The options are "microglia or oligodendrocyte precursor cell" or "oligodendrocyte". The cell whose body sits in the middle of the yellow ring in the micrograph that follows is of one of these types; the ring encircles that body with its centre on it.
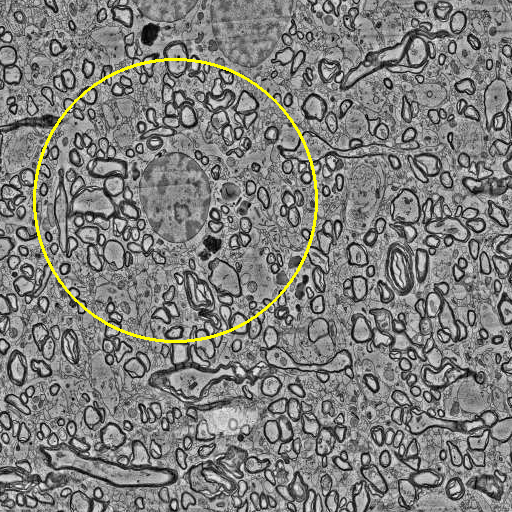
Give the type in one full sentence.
Going by the micrograph, the cell centred in the yellow ring is a microglial cell or oligodendrocyte precursor cell.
